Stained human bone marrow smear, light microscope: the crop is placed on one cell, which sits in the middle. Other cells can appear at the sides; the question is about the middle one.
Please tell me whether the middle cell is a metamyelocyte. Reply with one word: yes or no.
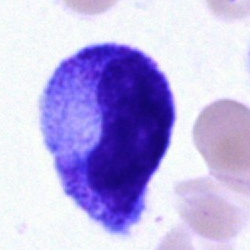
yes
